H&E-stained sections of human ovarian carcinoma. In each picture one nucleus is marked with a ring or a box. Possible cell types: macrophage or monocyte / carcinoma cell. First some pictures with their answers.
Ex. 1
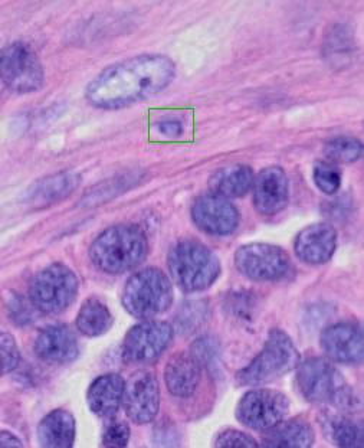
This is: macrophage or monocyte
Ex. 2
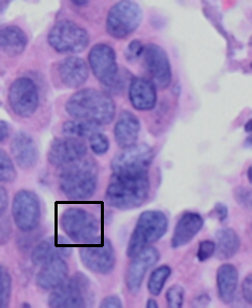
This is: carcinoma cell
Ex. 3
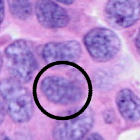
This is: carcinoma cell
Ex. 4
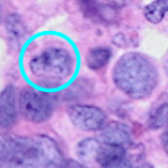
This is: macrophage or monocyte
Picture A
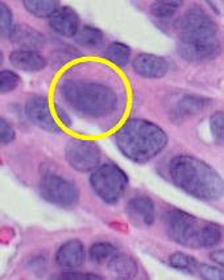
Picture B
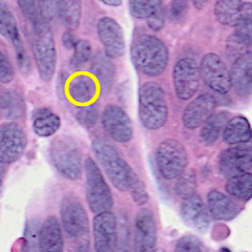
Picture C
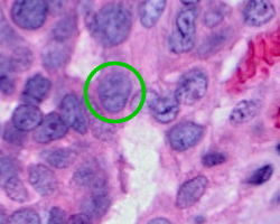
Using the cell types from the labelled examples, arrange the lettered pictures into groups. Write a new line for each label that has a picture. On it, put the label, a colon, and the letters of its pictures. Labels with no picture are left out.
carcinoma cell: A, B, C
